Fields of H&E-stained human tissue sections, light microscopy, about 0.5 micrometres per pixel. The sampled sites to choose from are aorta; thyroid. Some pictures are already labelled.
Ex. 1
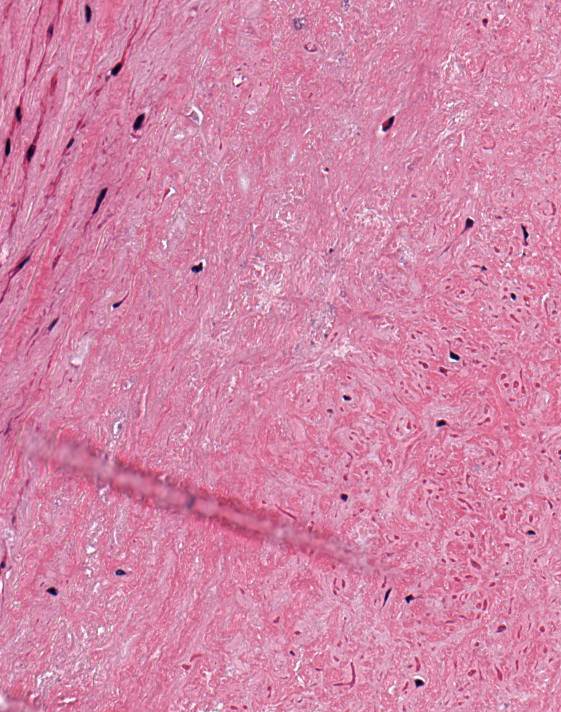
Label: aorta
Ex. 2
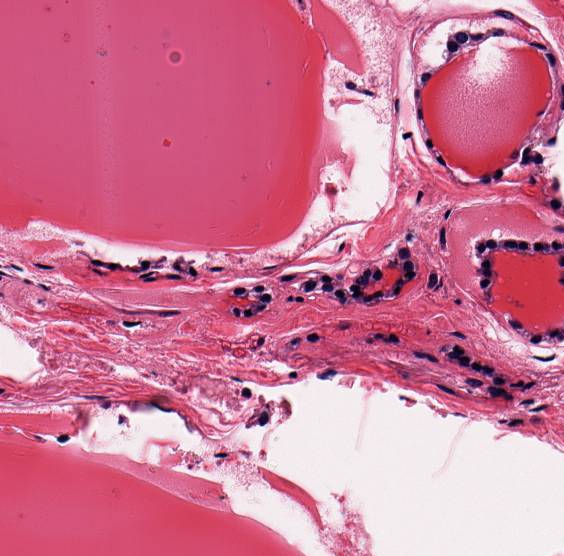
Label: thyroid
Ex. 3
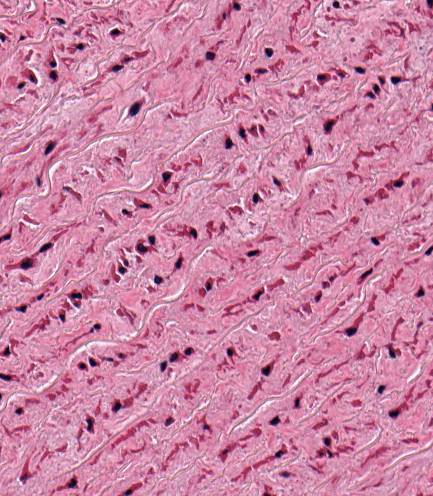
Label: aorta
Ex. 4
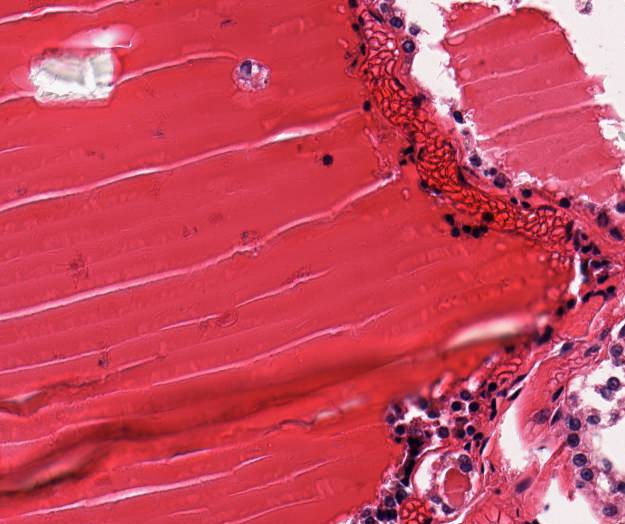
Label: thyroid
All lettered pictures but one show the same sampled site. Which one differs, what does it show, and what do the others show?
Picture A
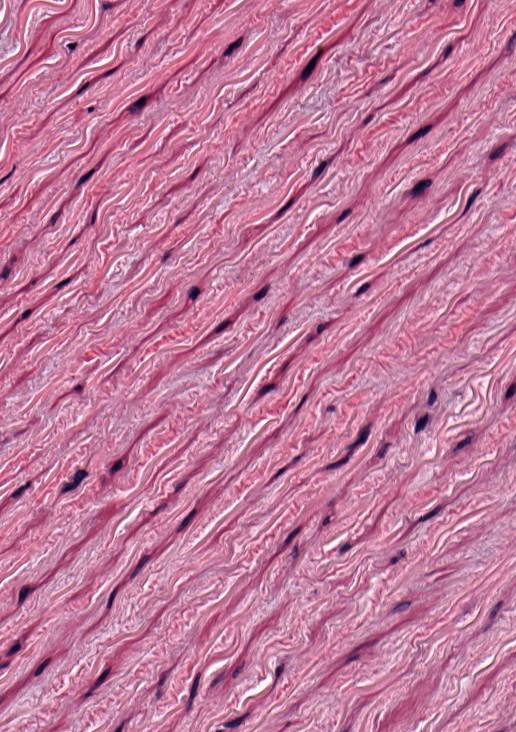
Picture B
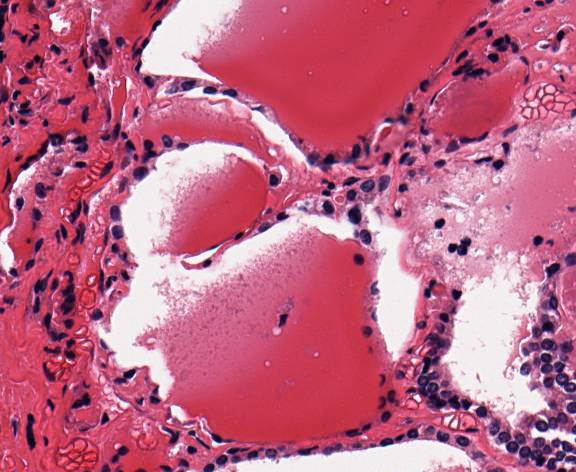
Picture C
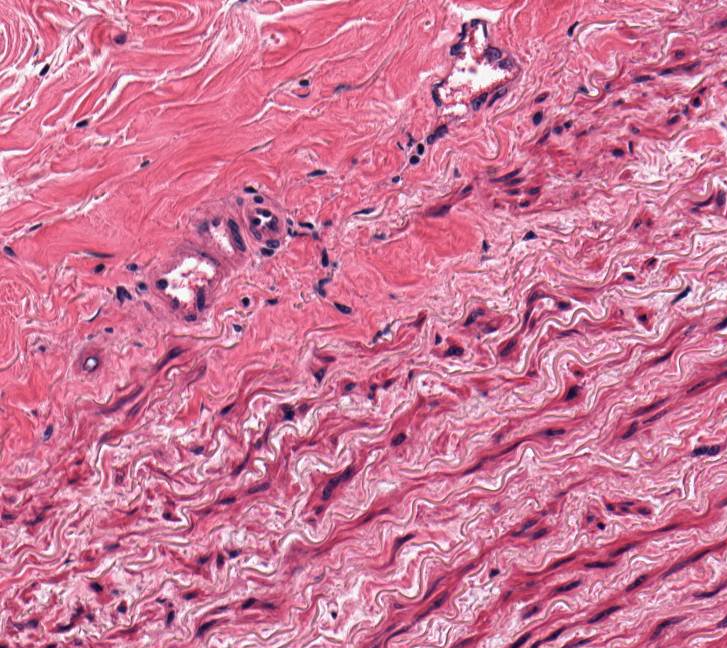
Exception: B, showing thyroid. Remaining pictures: aorta.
